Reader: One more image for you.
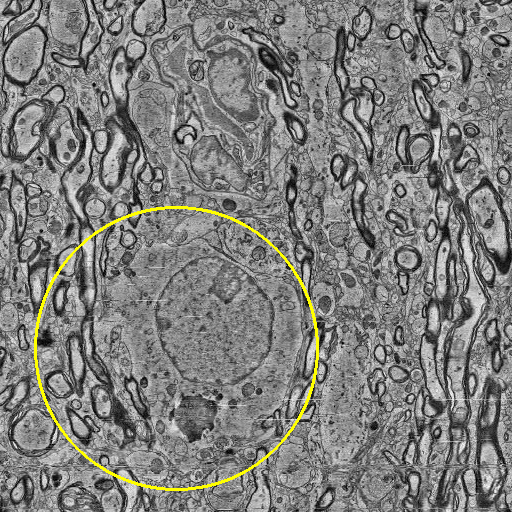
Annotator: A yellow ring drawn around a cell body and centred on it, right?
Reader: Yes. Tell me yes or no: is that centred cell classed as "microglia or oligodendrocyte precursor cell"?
yes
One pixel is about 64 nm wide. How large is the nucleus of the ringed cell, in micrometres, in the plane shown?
In this plane the nucleus measures roughly 9 by 7 micrometres.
